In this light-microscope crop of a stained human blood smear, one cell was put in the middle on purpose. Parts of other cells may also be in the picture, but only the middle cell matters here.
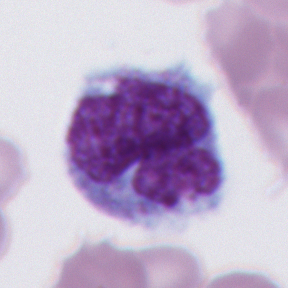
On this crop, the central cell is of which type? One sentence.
The cell at the centre of the field is a monocyte.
